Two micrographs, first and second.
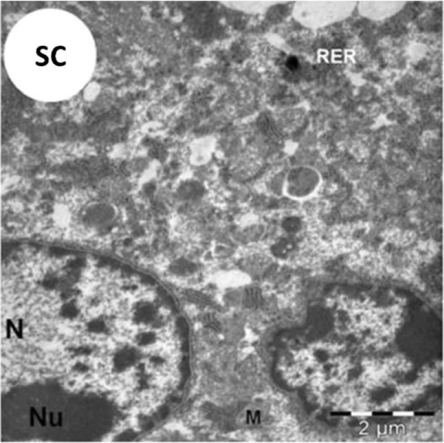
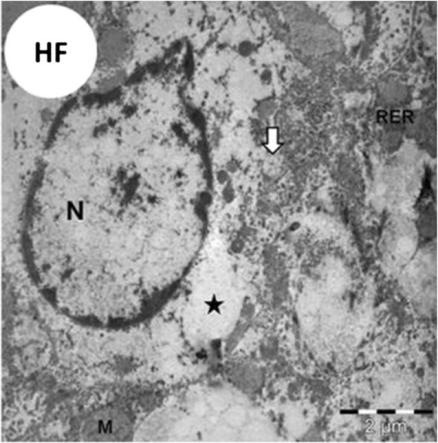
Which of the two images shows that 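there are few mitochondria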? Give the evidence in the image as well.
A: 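Second image: the cytoplasm is largely pale, with large pale vacuoles and only scattered dark oval organelles. First image: many dark oval and round organelles are spread through the cytoplasm. That points to this answer: the second image.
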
